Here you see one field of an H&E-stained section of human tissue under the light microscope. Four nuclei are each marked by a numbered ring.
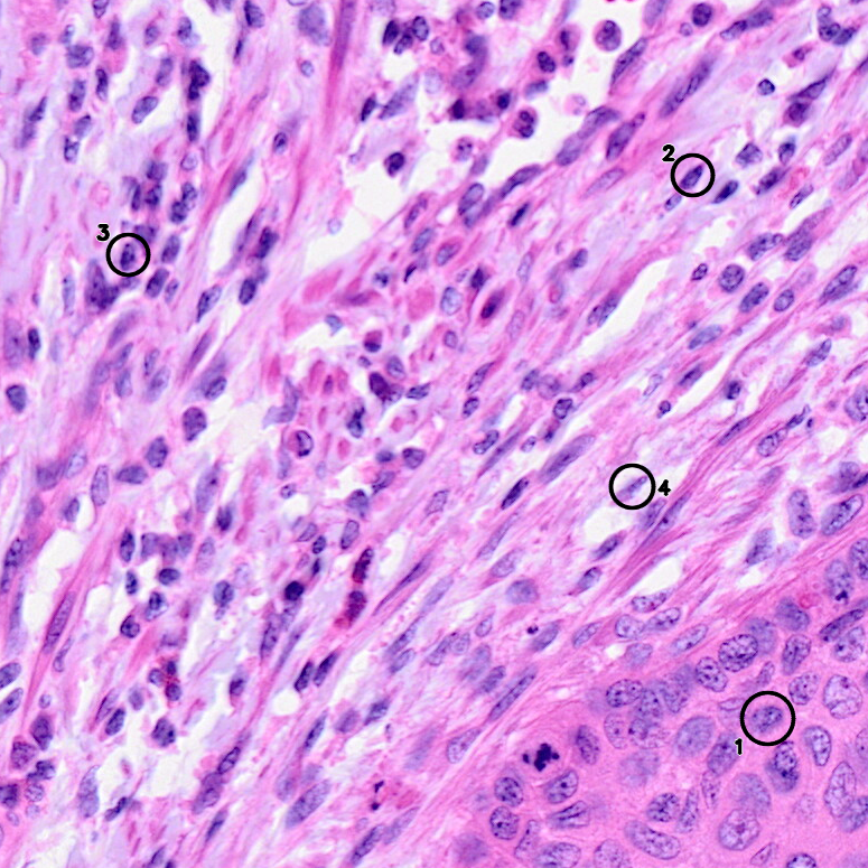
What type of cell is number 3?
lymphocyte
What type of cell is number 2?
lymphocyte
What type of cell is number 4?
fibroblast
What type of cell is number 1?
squamous carcinoma cell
